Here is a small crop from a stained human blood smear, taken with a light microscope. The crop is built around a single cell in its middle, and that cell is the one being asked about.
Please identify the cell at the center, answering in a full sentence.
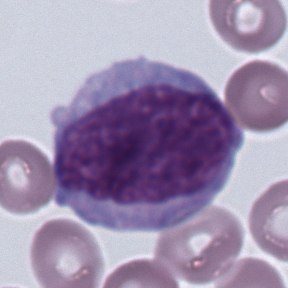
At the middle of the frame sits an atypical promyelocyte.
